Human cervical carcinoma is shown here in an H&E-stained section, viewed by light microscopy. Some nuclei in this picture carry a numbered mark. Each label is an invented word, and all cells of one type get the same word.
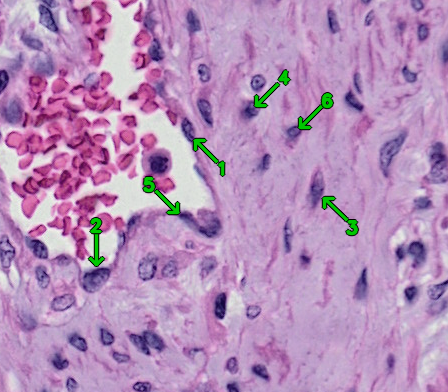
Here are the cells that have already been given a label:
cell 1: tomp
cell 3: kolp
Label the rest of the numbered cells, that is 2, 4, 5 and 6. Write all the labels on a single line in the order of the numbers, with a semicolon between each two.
tomp; kolp; tomp; kolp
